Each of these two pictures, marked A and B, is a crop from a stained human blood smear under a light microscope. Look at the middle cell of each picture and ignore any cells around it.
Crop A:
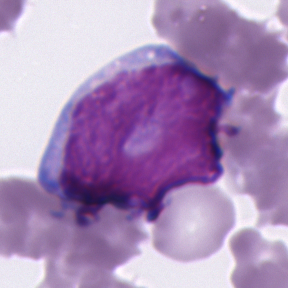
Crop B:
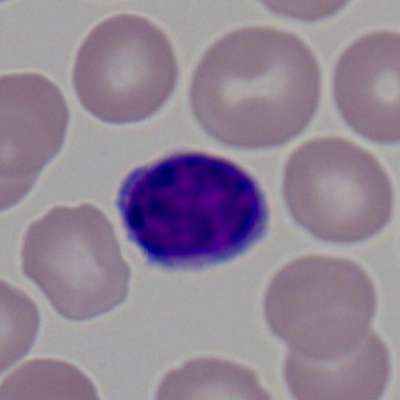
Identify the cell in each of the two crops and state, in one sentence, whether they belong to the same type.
No, crop A depicts a blast, and crop B depicts a lymphocyte.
